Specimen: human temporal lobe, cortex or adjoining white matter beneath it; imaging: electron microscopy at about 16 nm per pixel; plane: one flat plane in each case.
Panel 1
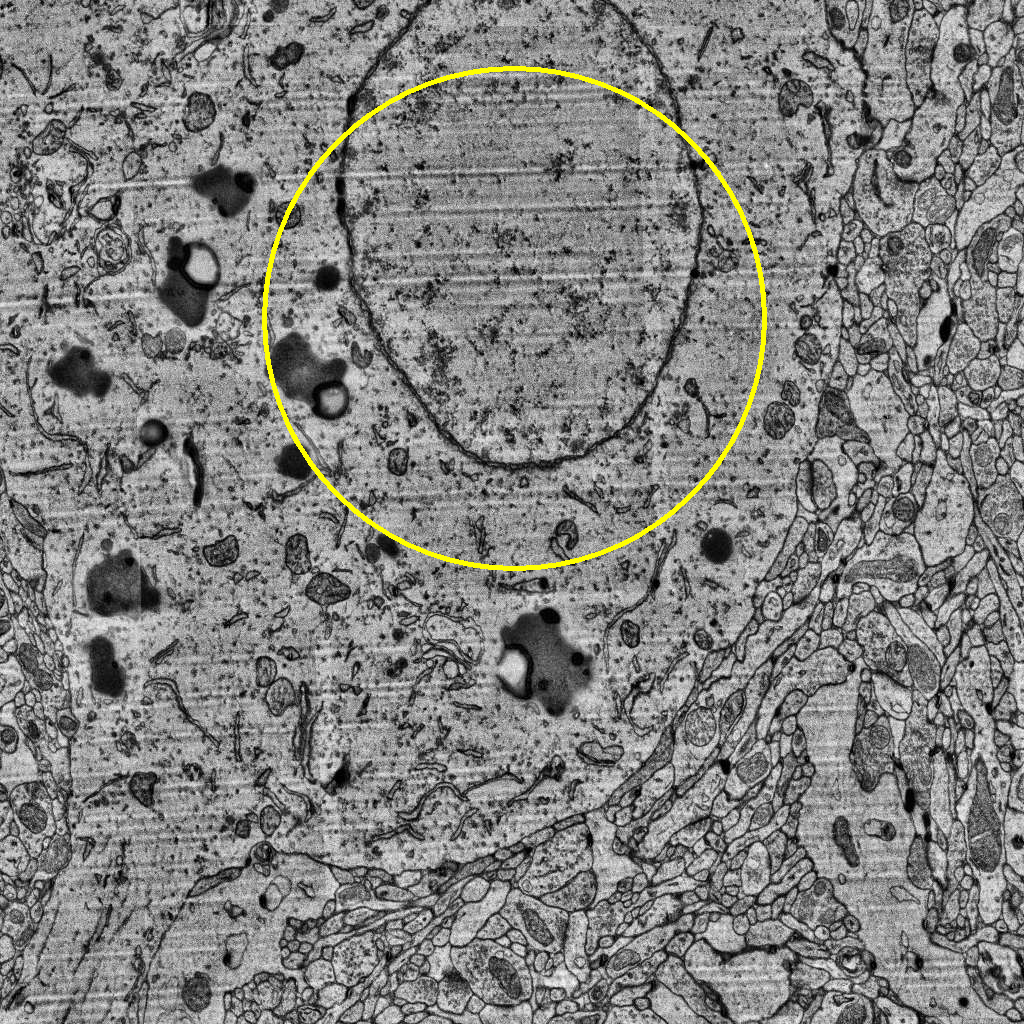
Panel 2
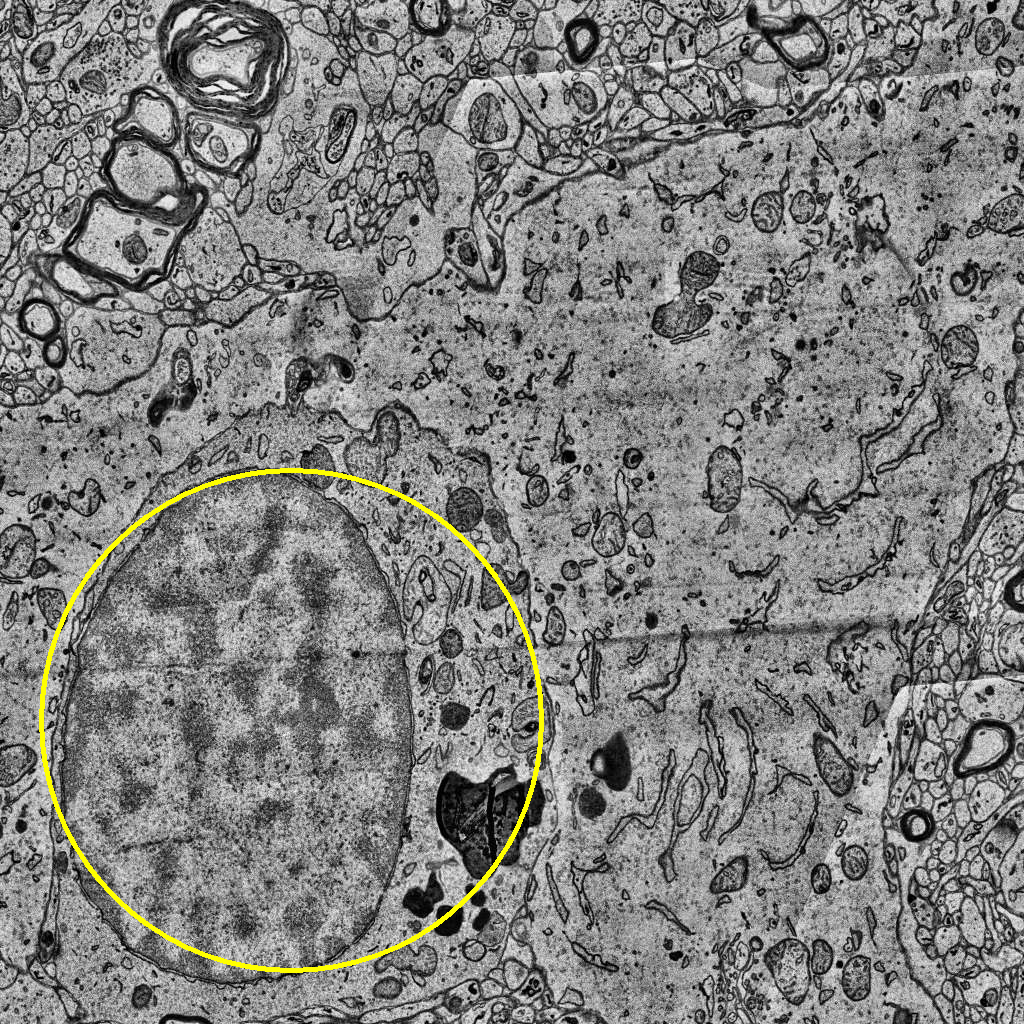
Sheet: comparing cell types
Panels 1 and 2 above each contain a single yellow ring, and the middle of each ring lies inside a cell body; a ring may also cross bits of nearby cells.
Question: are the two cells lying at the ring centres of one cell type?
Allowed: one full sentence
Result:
No, the cells at the ring centres in Panel 1 and Panel 2 are of two types.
